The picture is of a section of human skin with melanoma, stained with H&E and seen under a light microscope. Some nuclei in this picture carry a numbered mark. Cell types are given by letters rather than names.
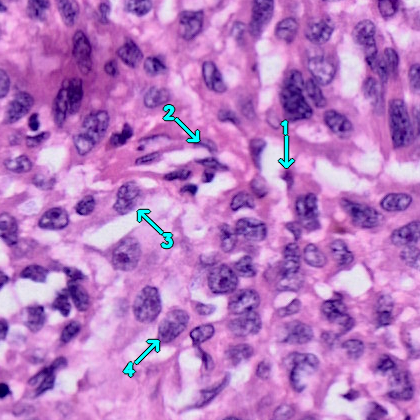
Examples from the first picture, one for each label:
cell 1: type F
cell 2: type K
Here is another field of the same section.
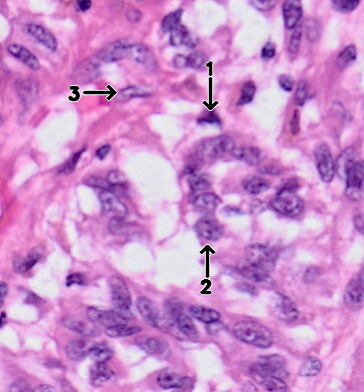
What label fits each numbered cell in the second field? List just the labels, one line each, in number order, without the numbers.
type F
type F
type K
